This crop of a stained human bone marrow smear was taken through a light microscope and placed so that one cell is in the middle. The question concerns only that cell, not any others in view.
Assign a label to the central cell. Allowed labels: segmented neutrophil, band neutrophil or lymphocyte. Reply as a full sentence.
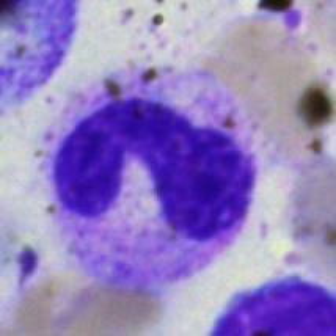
The cell under consideration, at the middle of the crop, is a band neutrophil.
